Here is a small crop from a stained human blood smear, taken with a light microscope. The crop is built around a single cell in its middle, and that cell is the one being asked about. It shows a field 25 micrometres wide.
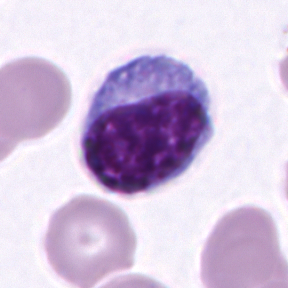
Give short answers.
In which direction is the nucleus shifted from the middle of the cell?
bottom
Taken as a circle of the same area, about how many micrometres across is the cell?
12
